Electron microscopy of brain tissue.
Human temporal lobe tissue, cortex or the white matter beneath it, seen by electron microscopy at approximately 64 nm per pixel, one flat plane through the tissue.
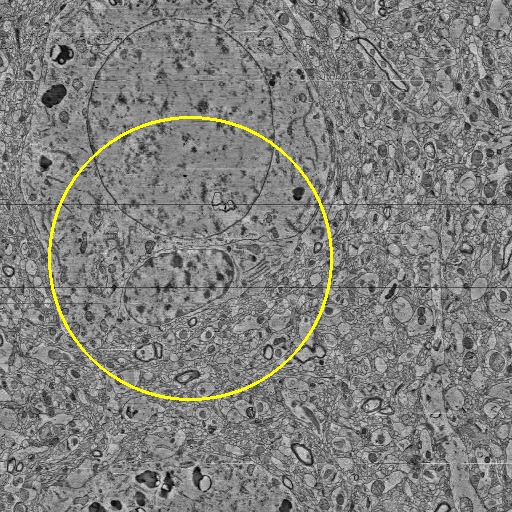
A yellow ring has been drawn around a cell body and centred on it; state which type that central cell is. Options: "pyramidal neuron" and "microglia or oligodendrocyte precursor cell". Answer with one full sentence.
The cell at the middle of the yellow ring is a microglial cell or oligodendrocyte precursor cell in this picture.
